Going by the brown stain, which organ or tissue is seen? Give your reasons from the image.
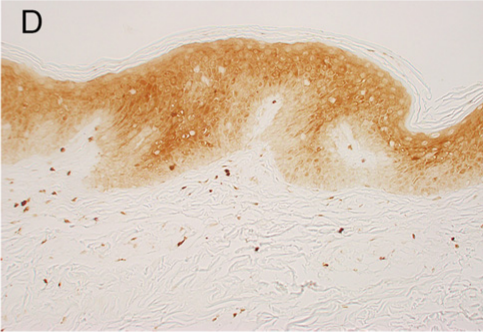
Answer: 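Epidermis. A thick stratified cell layer at the top of the section is stained brown throughout. The layer forms downward ridges into the paler connective tissue below. A thin pale layered sheet lies on top of the brown layer.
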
